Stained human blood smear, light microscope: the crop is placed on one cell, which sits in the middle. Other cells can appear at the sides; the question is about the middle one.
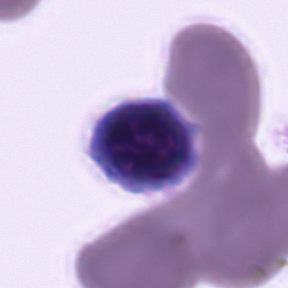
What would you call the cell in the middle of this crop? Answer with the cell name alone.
plasma cell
